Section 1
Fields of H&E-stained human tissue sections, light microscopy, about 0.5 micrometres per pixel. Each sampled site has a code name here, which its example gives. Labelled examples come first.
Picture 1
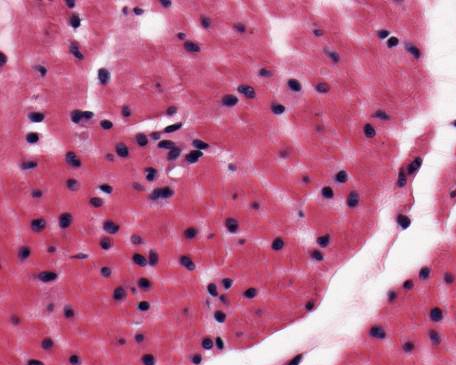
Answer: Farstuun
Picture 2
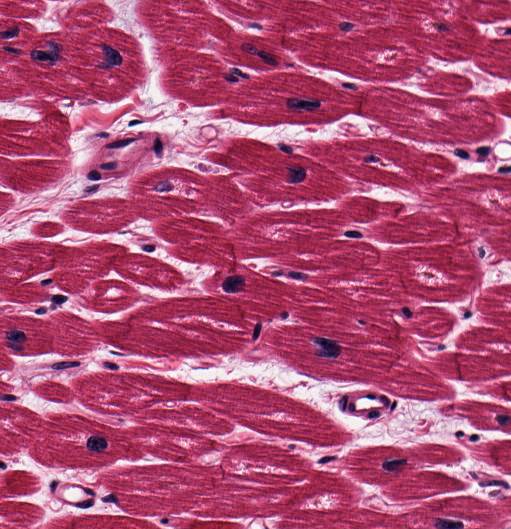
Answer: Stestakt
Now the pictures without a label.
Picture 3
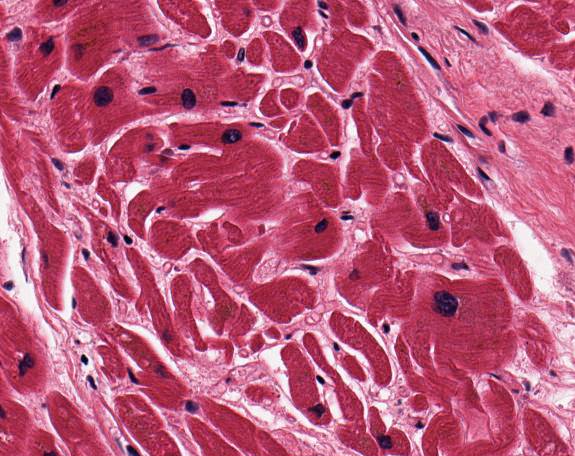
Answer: Stestakt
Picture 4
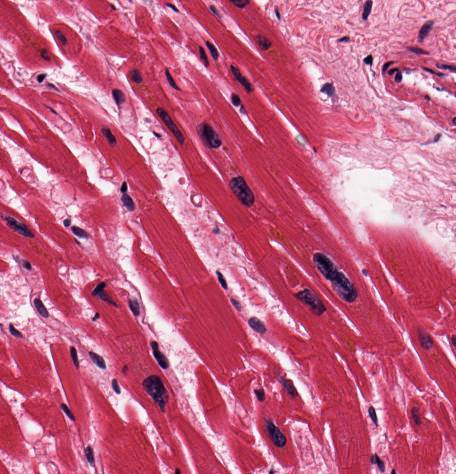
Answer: Stestakt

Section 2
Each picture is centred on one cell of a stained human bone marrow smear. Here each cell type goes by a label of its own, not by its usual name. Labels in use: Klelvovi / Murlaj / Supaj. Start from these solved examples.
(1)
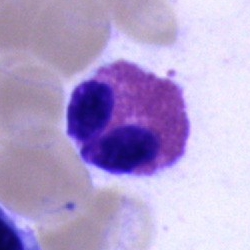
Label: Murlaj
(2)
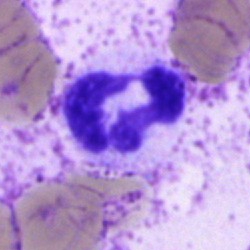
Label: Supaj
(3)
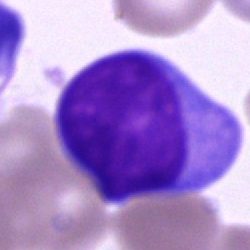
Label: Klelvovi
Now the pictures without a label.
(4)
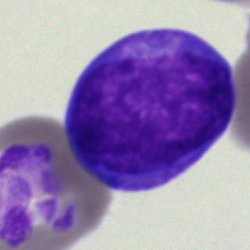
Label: Klelvovi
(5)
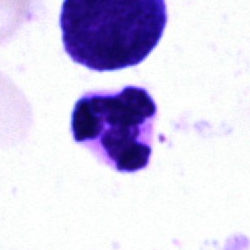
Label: Supaj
